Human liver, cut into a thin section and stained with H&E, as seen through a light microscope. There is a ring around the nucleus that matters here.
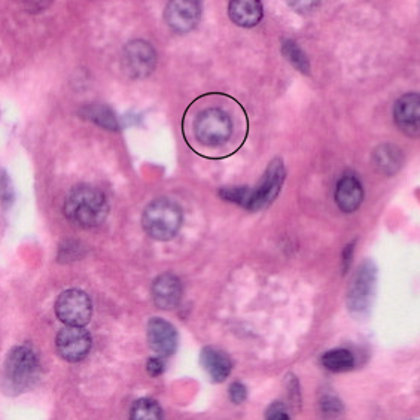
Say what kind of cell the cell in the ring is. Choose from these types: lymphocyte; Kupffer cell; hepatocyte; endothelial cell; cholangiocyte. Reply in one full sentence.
Just put down that the cell in the ring is a hepatocyte.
